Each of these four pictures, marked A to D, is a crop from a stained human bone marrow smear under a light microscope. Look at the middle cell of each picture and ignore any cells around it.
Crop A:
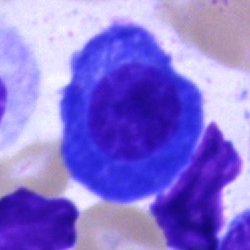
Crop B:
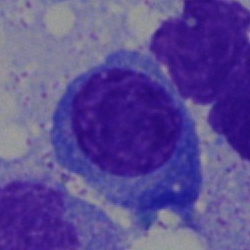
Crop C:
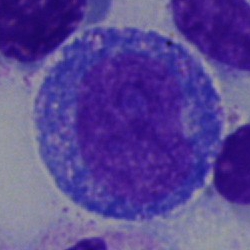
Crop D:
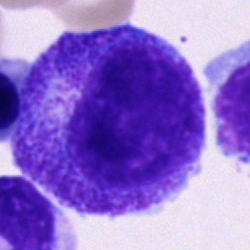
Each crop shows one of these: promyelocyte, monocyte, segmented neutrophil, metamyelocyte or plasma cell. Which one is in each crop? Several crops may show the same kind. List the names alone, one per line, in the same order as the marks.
plasma cell
plasma cell
promyelocyte
promyelocyte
